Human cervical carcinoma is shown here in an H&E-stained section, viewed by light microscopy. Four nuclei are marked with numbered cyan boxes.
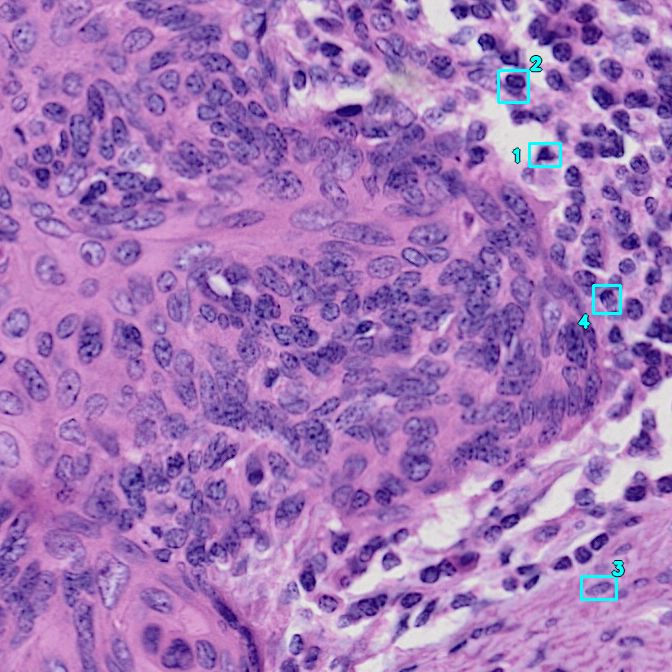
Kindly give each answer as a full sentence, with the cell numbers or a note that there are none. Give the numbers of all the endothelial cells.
The numbered cells are not endothelial cells, not even one of them.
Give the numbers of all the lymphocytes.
The cells bearing the numbers 1, 2 and 4 are lymphocytes.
